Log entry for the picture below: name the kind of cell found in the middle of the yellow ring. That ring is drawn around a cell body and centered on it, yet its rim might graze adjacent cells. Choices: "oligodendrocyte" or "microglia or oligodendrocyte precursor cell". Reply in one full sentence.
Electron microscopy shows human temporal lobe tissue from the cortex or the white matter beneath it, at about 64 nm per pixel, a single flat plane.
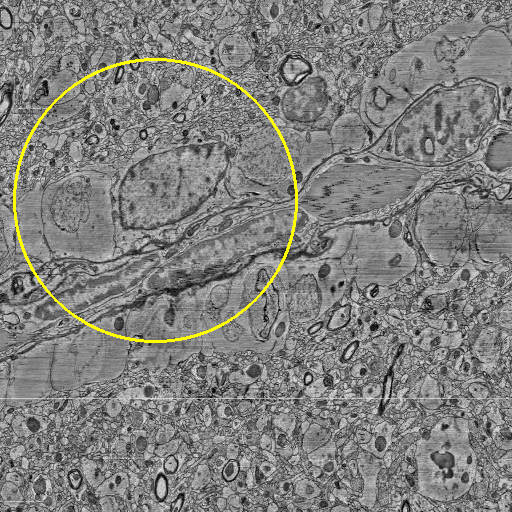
The cell in the middle of the yellow ring in this picture is a microglial cell or oligodendrocyte precursor cell.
